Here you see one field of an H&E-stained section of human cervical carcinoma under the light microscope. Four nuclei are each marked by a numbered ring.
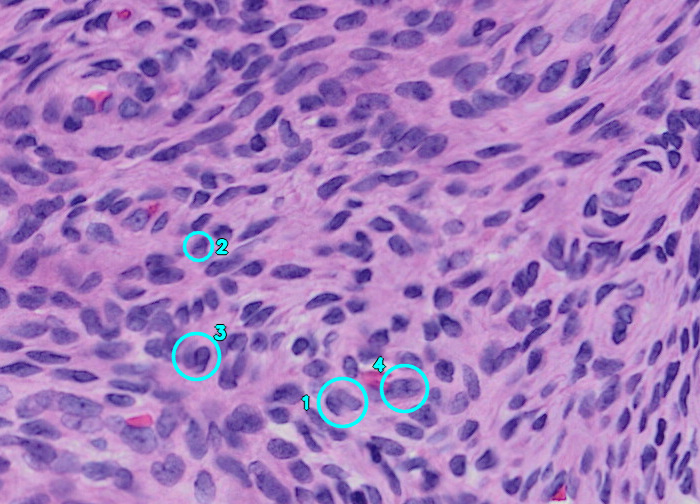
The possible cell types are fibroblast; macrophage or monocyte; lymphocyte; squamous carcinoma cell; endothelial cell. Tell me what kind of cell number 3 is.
fibroblast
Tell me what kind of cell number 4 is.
endothelial cell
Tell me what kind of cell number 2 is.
fibroblast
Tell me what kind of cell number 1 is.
fibroblast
